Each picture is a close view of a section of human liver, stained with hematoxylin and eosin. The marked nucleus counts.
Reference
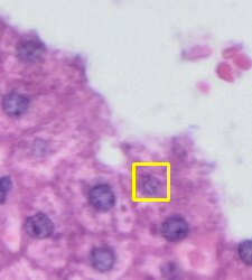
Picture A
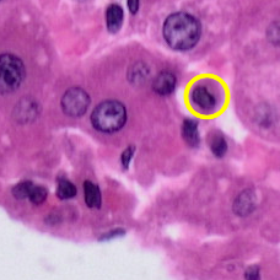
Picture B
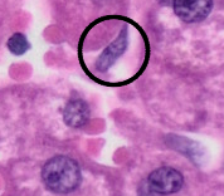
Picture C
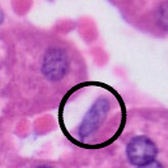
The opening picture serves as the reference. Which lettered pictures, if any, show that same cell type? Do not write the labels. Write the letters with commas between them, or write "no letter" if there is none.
no letter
